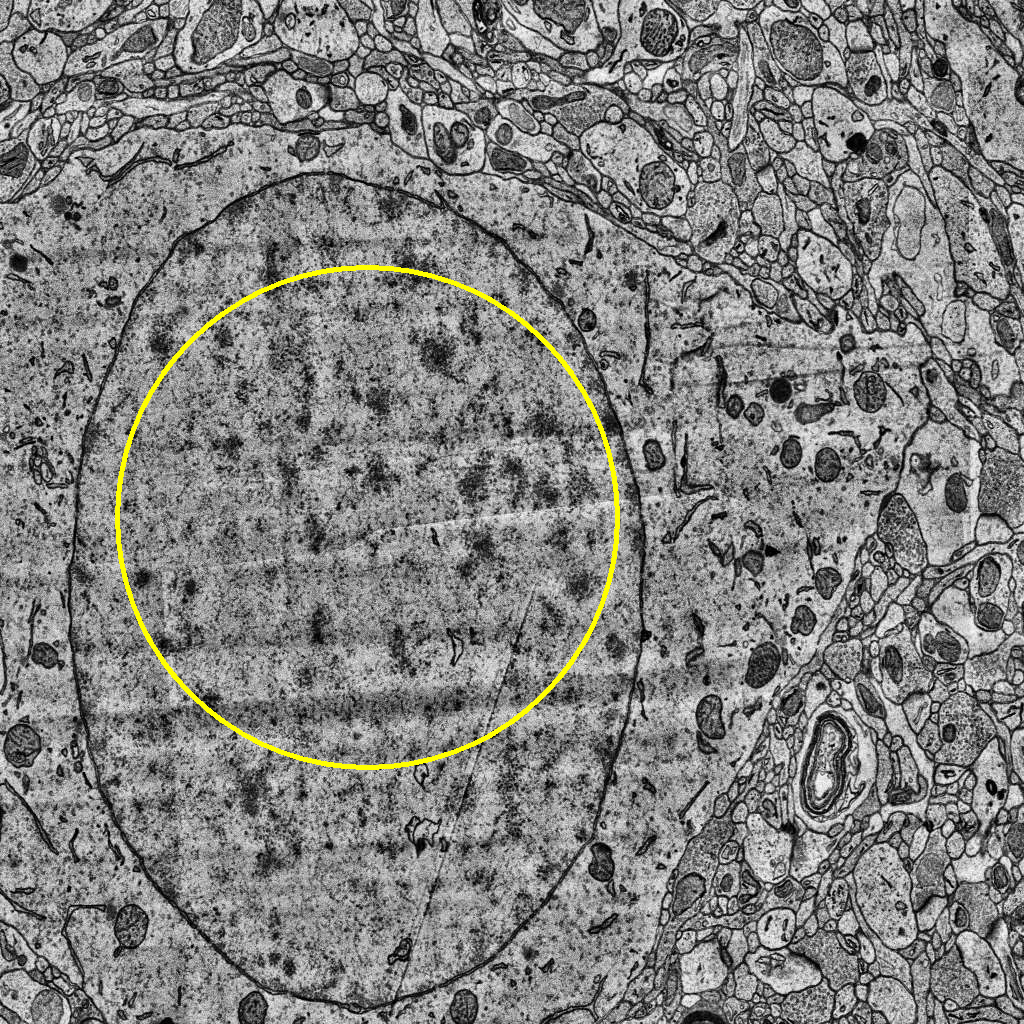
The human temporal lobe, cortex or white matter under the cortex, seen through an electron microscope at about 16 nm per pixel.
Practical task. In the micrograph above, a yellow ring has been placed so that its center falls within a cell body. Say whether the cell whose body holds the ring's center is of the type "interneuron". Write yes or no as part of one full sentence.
No, the cell whose body holds the ring's center above is of another type.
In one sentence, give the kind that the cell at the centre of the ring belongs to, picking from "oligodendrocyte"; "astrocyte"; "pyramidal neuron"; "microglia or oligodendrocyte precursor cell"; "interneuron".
This picture has a pyramidal neuron at the centre of its ring.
